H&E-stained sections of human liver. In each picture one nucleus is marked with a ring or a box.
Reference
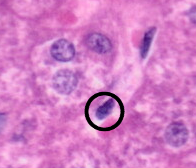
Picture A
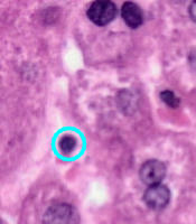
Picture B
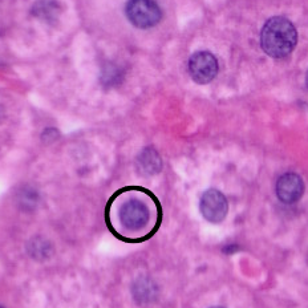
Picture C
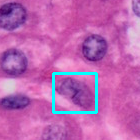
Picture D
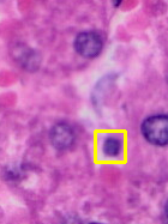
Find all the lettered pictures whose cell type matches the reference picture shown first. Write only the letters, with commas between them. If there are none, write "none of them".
A, D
